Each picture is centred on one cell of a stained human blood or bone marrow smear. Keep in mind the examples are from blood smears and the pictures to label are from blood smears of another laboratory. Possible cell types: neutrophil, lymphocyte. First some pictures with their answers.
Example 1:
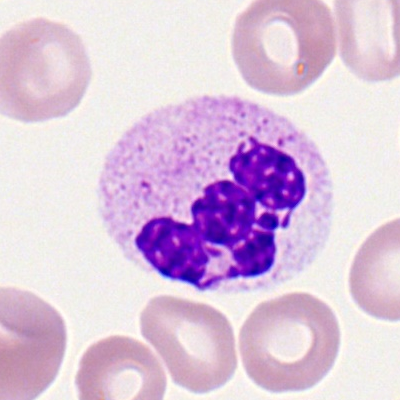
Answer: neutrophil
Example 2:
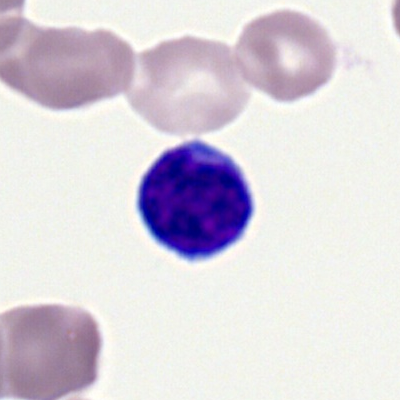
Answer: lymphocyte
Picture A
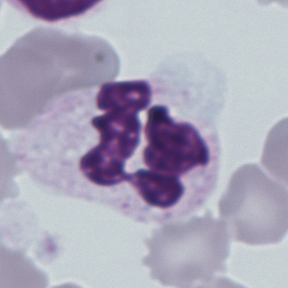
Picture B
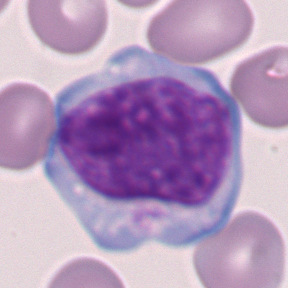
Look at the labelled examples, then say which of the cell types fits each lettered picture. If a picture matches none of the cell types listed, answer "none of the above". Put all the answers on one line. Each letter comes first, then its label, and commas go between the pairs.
A neutrophil, B none of the above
